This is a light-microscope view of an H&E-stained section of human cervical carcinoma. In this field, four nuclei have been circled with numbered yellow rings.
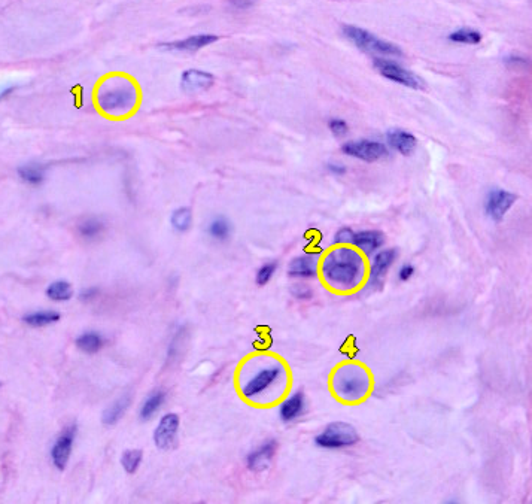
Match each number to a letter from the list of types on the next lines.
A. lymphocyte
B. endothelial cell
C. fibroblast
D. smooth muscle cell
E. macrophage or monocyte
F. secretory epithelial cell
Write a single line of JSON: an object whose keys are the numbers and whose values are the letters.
{"1": "D", "2": "B", "3": "C", "4": "C"}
